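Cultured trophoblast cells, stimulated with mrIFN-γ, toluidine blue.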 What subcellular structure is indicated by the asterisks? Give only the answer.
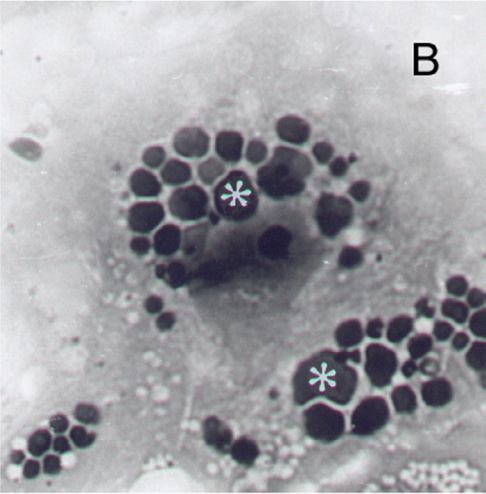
Erythrophagosomes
